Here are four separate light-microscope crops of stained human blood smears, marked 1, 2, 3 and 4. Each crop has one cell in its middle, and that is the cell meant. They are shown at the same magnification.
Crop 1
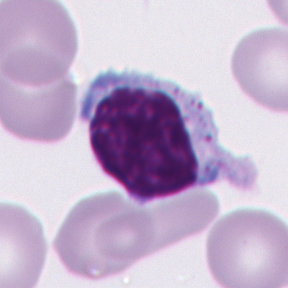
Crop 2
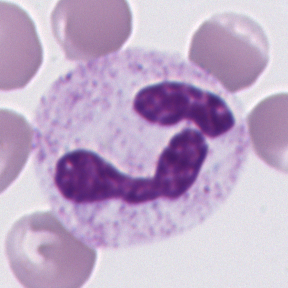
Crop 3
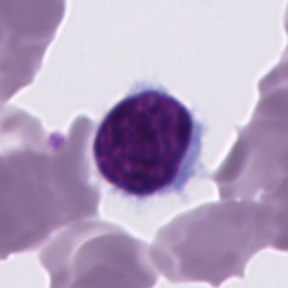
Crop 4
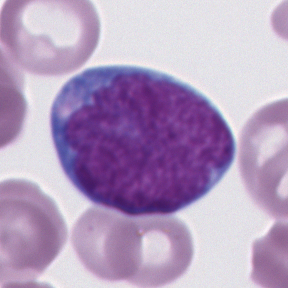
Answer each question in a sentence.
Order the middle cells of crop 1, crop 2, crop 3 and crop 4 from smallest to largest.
The order is 3, 1, 4, 2, beginning with the smallest.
